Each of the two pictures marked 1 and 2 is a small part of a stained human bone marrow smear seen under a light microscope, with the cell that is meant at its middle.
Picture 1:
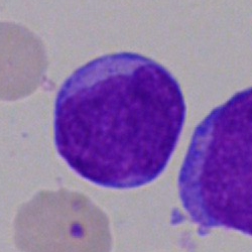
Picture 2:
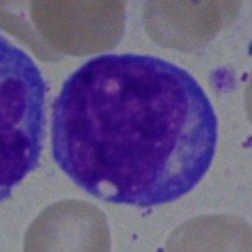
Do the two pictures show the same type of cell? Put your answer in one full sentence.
Yes; the cells in both pictures are blasts.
